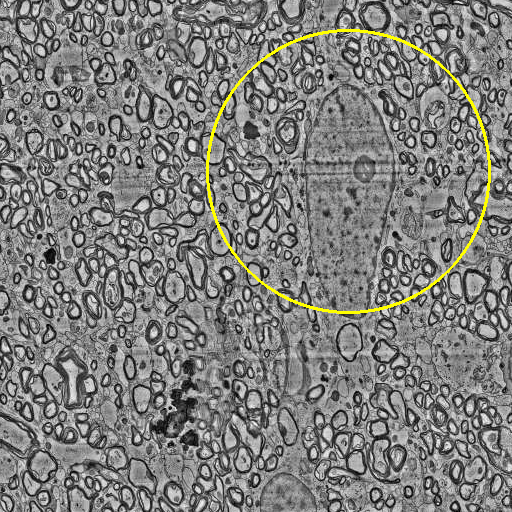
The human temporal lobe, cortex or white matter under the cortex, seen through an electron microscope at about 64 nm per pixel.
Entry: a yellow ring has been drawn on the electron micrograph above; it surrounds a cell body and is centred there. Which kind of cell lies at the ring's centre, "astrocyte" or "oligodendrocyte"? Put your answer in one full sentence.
The cell sitting at the ring's centre is an astrocyte in the micrograph above.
